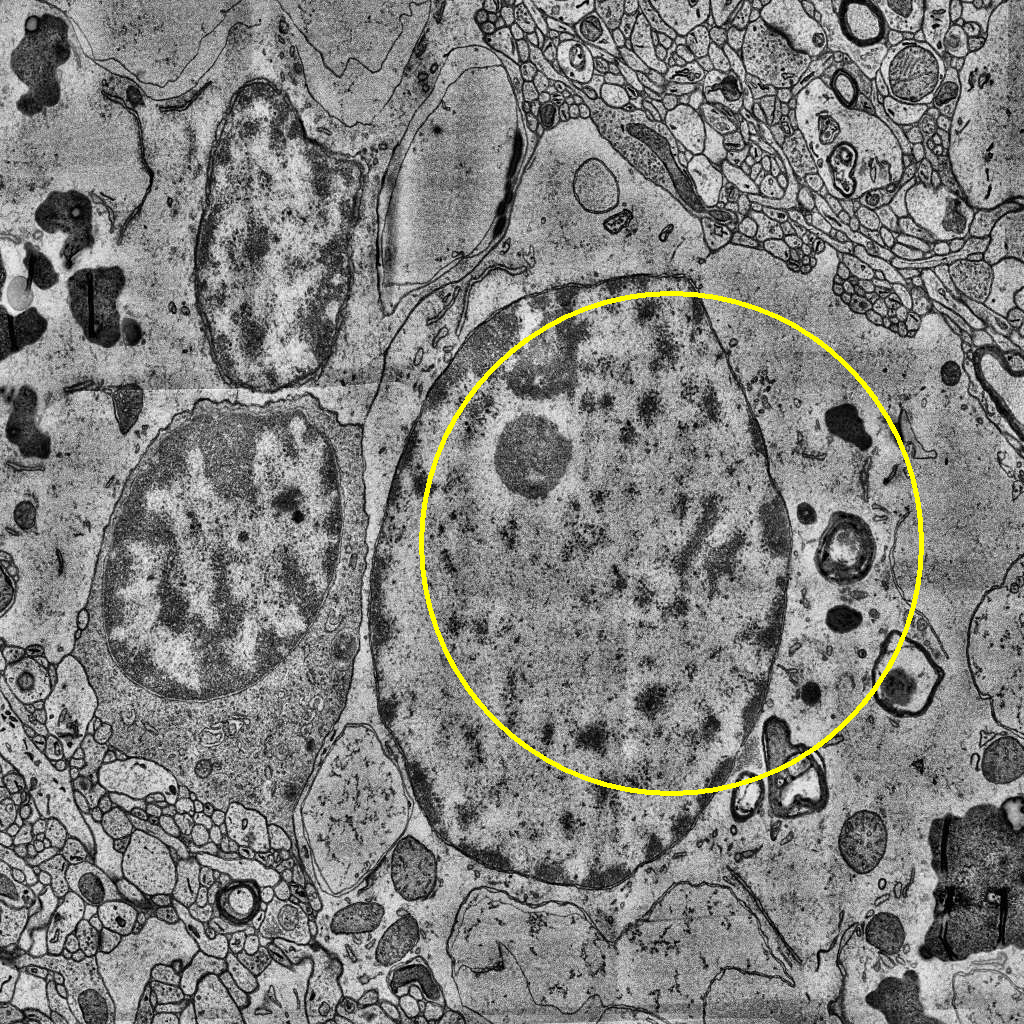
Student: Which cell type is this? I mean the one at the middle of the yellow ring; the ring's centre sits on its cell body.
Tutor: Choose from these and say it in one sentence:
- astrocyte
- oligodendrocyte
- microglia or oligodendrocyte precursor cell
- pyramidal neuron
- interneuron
The cell at the ring's centre is an astrocyte.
